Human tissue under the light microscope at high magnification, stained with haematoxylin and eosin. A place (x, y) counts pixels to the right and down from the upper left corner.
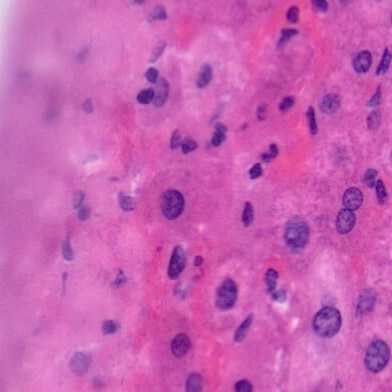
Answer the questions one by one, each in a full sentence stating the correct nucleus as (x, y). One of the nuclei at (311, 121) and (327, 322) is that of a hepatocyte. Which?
The one at (327, 322) is the nucleus belonging to a hepatocyte, not the other one.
